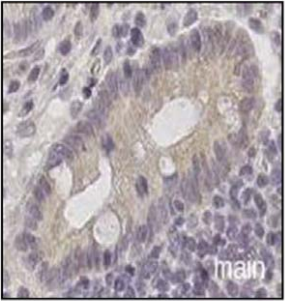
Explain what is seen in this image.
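This is an intestinal crypt seen obliquely, a tube of tall columnar epithelial cells enclosing a narrow lumen. The epithelial nuclei are elongated, blue and placed toward the base, and the cytoplasm shows only a light brown tint. A few pale round vacuoles lie along the lumen. The crypt is surrounded by connective tissue crowded with small round blue nuclei.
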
